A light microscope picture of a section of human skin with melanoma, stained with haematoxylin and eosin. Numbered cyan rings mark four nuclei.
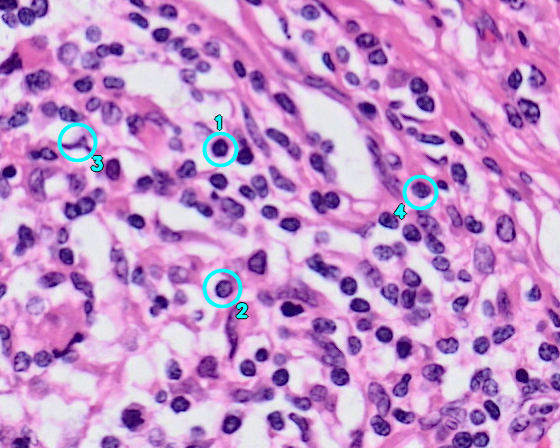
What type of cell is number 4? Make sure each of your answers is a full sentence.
Identified as a lymphocyte is the cell bearing the number 4.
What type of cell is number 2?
In this section, number 2 marks a lymphocyte.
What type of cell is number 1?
The cell identified by number 1 is a lymphocyte.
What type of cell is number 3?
At number 3, the marked cell is a fibroblast or myofibroblast.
